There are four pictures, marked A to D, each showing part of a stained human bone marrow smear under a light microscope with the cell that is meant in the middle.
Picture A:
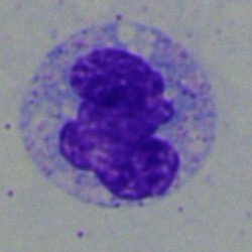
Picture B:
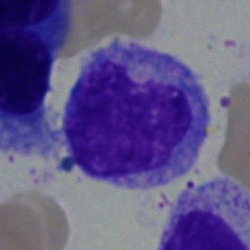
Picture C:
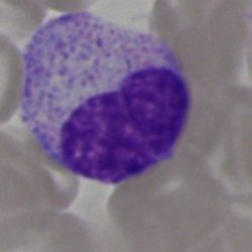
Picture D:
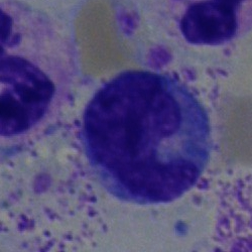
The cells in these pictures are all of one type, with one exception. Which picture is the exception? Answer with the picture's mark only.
C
